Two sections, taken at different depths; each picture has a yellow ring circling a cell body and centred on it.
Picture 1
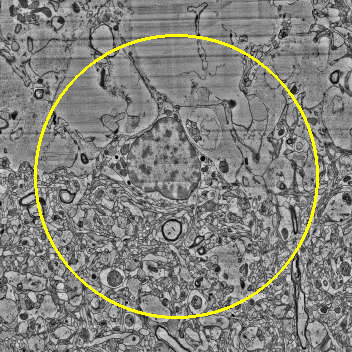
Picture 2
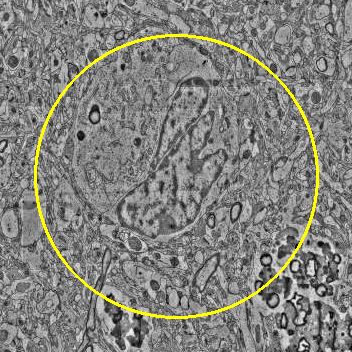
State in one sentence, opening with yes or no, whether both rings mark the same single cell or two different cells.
No, there are two different cells marked by the rings.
